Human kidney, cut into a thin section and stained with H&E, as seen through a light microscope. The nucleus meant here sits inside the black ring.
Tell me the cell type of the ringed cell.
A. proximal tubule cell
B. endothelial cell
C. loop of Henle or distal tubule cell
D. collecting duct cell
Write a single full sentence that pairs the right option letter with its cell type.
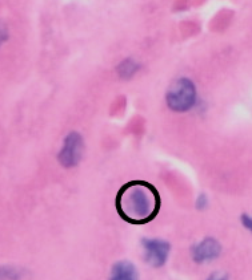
Hey, it is option C: the ringed cell is a loop of Henle or distal tubule cell.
